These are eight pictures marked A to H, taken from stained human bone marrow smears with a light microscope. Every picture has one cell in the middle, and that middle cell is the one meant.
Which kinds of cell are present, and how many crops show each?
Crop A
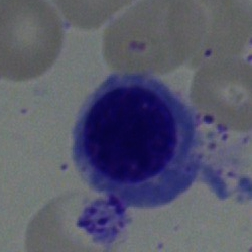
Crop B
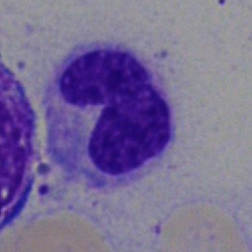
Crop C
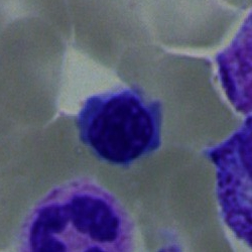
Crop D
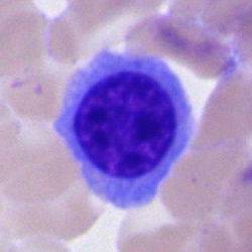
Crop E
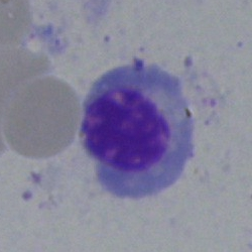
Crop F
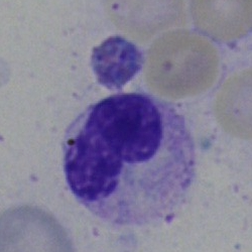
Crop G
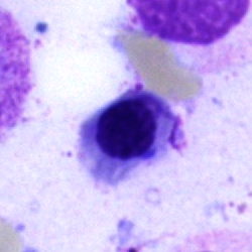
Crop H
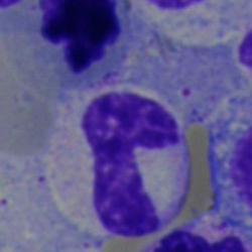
normoblast: 5
band neutrophil: 3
